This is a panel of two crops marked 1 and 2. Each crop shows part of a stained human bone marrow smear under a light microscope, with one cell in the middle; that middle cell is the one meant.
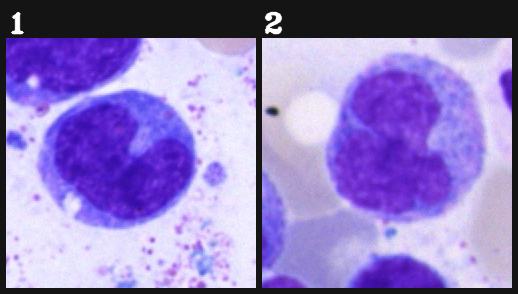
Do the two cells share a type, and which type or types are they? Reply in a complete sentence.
Yes, both crops show monocytes, one in each.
